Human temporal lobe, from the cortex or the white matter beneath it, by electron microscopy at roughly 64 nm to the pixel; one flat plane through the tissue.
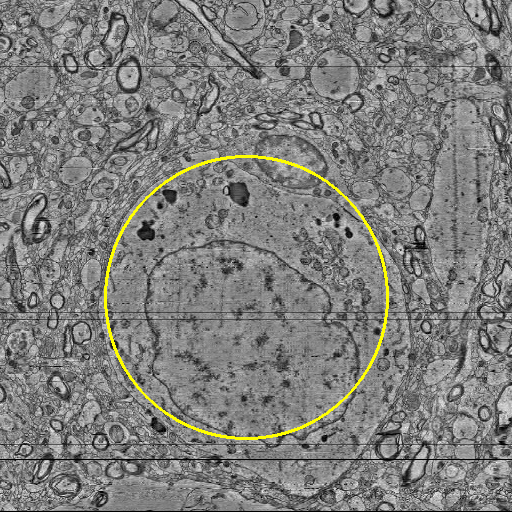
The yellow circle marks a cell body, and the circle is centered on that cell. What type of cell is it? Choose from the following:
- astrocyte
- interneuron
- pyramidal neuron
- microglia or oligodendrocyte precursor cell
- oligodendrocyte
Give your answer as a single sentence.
This cell body belongs to a pyramidal neuron.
